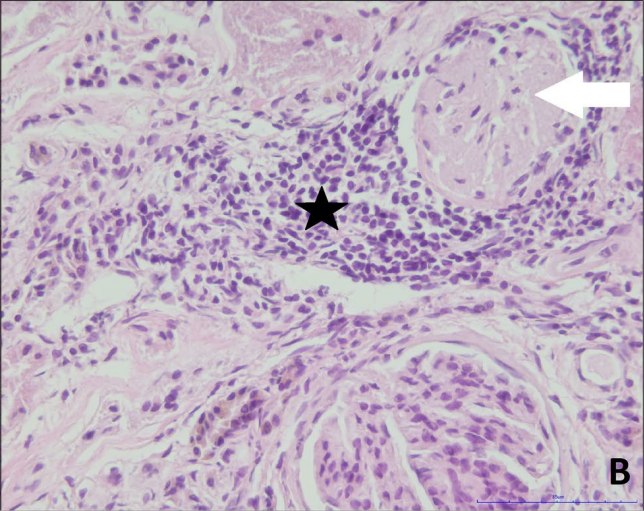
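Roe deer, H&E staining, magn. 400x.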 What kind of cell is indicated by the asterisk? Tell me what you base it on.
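Many small cells with round, dark nuclei and scant cytoplasm. Some cells have slightly more cytoplasm with eccentric nuclei.
Answer: small lymphocytes and plasma cells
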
